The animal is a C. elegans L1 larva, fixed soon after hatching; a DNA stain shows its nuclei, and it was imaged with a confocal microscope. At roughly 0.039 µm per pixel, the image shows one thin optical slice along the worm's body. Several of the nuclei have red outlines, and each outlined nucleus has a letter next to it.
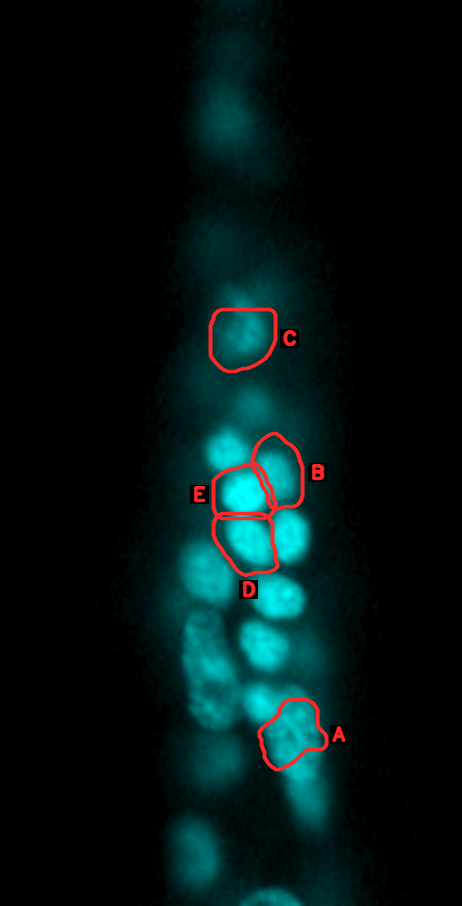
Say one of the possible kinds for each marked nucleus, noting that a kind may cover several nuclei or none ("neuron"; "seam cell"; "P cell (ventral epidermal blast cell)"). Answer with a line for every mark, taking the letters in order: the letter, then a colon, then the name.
A: P cell (ventral epidermal blast cell)
B: neuron
C: seam cell
D: neuron
E: neuron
